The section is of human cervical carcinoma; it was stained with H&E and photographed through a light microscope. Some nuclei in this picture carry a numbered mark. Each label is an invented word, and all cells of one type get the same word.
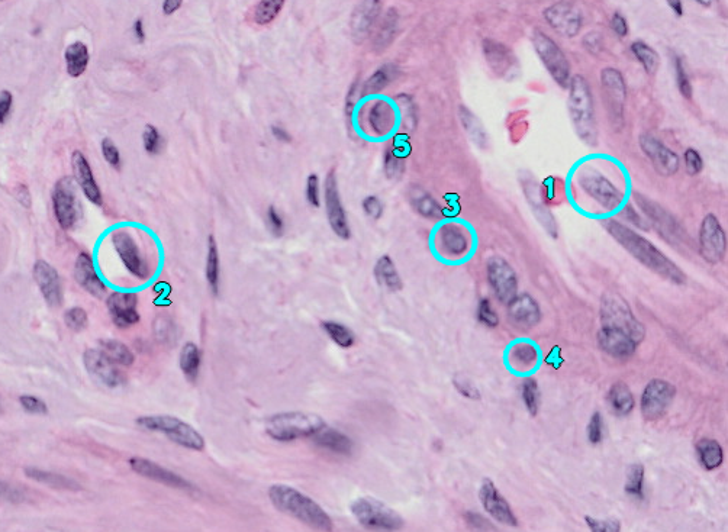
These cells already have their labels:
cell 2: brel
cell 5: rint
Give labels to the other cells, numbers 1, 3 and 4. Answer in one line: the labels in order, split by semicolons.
brel; rint; rint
